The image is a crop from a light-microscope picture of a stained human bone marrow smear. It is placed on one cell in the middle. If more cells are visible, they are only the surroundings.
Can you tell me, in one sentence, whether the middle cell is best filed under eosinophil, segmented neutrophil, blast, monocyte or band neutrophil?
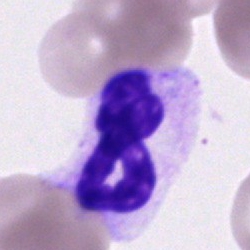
The crop centres on a single cell, and that cell is a segmented neutrophil.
